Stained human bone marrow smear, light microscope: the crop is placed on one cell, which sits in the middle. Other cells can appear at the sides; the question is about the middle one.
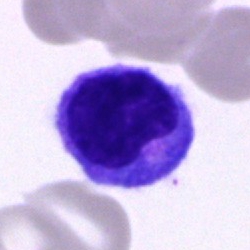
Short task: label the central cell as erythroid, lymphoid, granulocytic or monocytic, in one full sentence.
The lineage of the central cell is the monocytic lineage.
